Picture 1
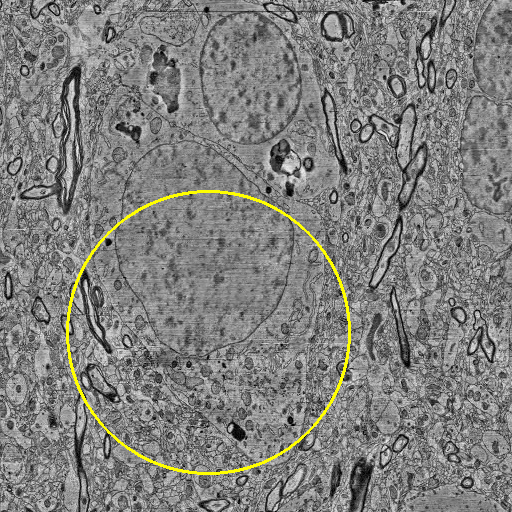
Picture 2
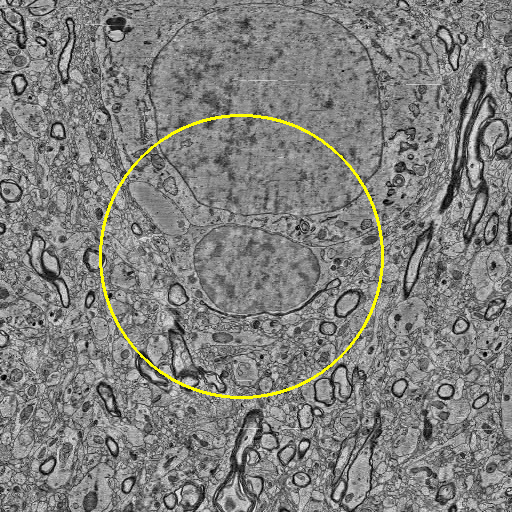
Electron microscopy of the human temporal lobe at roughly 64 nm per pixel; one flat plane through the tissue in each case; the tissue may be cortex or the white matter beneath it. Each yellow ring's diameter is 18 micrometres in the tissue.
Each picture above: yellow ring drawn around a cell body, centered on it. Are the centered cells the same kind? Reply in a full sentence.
No, the two cells are two kinds of cell.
